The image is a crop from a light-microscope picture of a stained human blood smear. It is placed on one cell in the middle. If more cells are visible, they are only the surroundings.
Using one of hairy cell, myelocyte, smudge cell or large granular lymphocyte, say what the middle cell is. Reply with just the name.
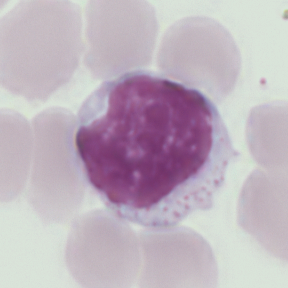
large granular lymphocyte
